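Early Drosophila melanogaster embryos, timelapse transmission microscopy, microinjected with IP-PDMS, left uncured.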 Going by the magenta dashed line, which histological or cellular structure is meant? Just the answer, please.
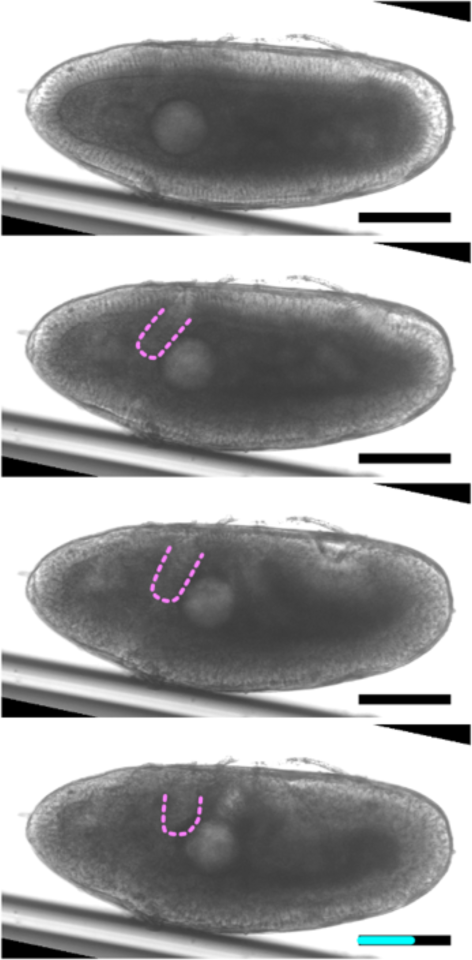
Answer: Cephalic furrow.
